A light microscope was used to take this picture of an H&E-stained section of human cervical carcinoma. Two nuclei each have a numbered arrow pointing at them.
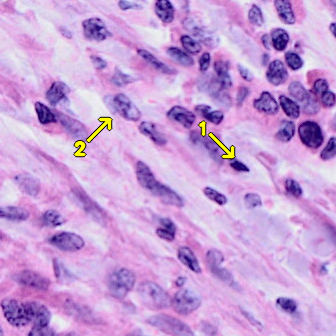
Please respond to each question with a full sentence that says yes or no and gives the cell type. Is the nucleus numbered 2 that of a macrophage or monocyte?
Yes, number 2 is assigned to a cell that is a macrophage or monocyte.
